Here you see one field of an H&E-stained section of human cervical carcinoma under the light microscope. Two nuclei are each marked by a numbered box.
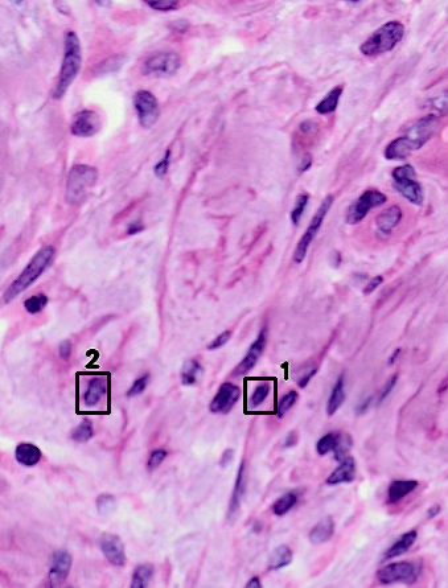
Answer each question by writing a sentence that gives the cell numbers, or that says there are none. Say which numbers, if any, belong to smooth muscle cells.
Cell 2 is a smooth muscle cell; every other numbered cell is something else.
